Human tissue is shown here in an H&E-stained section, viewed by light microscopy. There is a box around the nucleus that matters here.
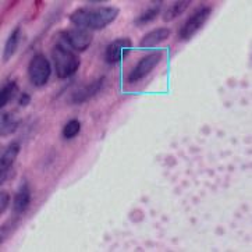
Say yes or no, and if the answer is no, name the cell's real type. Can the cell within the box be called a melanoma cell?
No, it is a carcinoma cell.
